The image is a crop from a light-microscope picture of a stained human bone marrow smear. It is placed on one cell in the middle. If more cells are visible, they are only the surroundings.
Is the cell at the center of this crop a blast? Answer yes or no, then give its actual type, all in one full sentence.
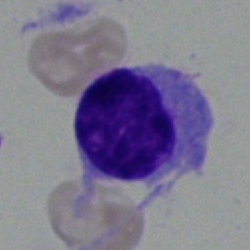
No, the central cell does not represent a blast, but a hairy cell.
